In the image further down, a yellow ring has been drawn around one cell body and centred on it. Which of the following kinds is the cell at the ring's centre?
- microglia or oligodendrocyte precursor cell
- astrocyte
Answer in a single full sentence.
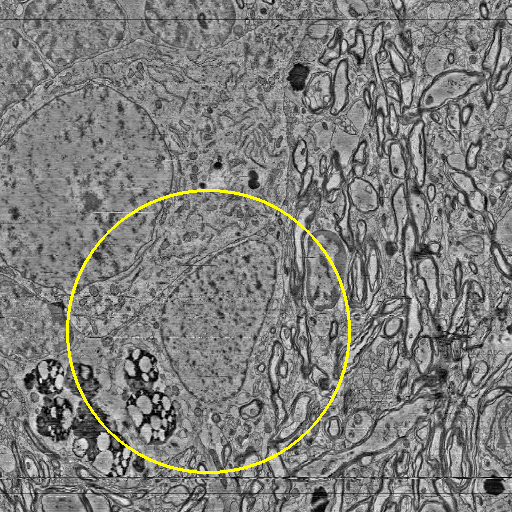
In the picture, the cell sitting at the centre of the yellow ring is an astrocyte.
